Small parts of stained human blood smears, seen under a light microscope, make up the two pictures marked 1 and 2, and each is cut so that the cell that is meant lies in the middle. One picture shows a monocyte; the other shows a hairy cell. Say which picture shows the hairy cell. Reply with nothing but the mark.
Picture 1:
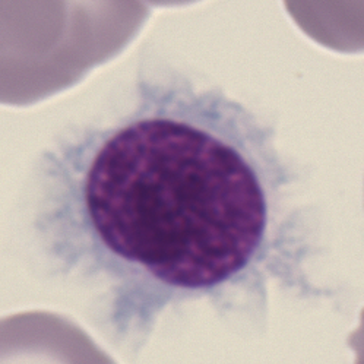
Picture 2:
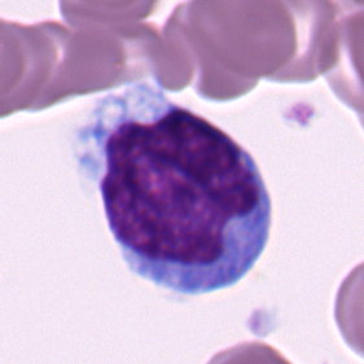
1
